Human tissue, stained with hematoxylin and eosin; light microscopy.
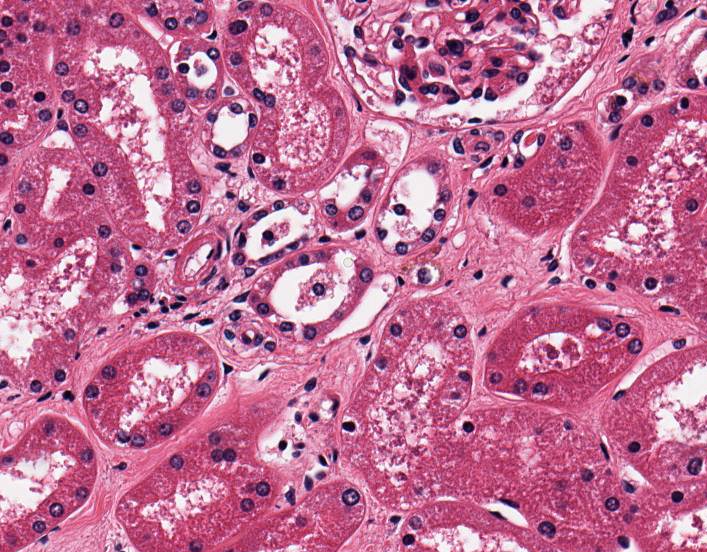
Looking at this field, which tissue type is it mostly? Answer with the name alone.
renal cortex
